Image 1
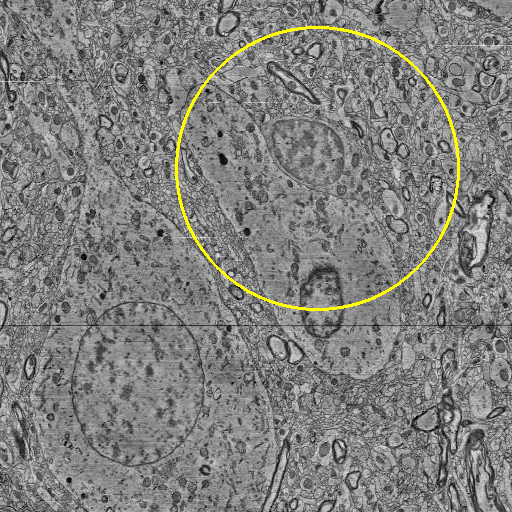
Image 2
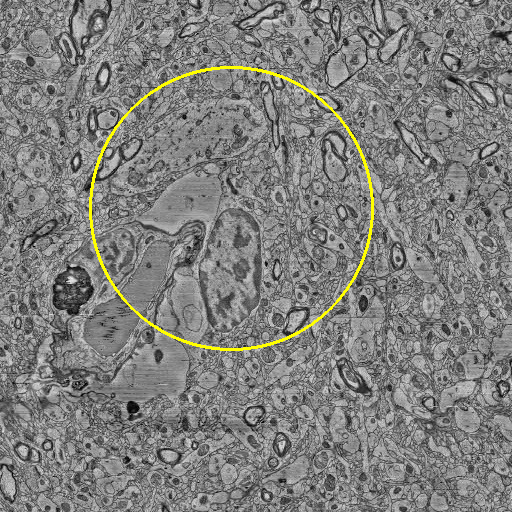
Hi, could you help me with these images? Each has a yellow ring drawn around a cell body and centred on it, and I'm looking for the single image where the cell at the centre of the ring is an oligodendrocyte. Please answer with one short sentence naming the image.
It is Image 1 that has it at the centre of its ring.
